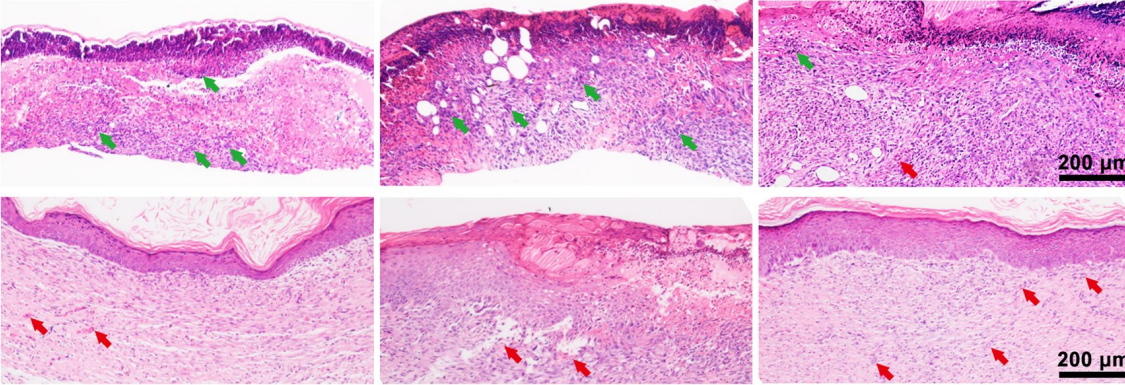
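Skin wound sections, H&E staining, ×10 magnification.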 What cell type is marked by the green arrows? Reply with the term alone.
inflammatory cells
